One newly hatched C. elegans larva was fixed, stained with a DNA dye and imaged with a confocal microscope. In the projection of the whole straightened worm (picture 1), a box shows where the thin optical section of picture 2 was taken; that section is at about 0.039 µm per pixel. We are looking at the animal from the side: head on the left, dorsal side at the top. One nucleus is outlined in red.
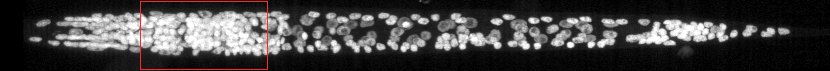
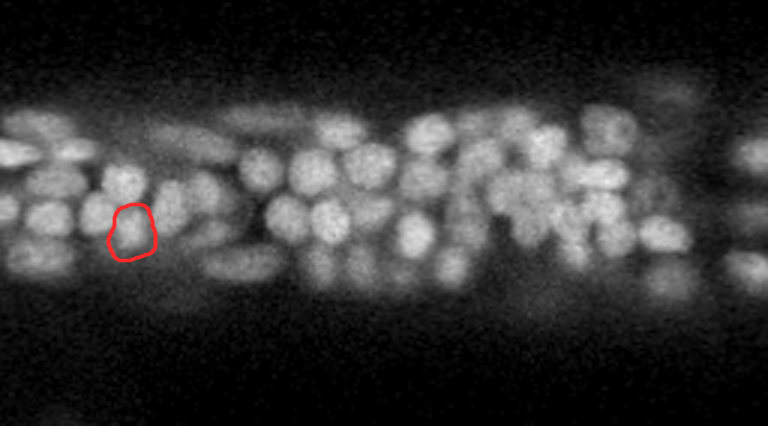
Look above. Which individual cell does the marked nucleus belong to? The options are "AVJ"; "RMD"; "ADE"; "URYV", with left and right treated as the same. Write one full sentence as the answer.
It is the nucleus of URYV, a neuron.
